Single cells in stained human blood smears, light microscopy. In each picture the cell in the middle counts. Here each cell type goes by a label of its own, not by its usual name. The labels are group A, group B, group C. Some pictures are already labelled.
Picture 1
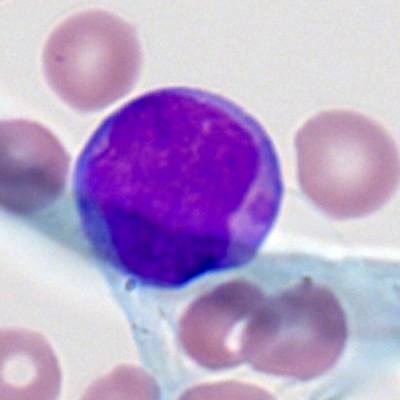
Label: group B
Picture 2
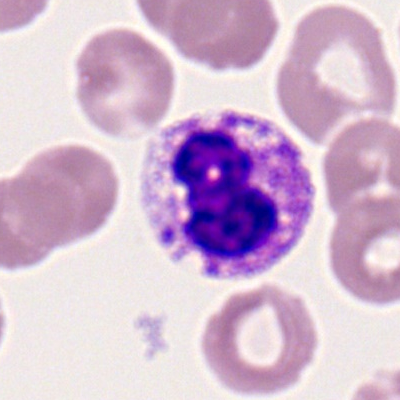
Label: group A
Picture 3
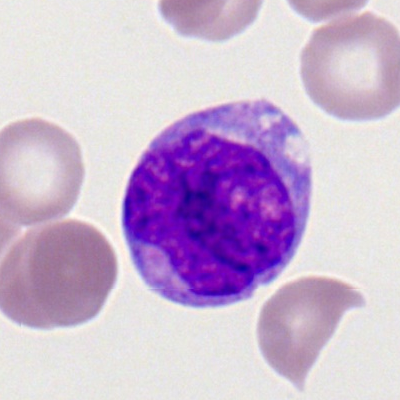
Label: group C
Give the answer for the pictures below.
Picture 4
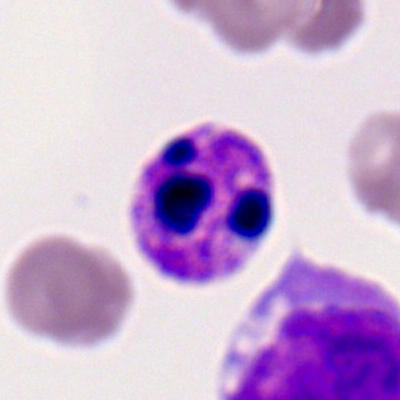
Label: group A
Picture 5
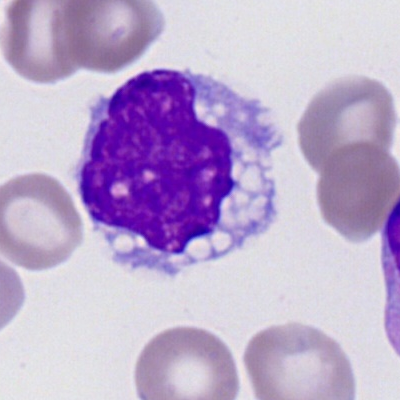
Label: group C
